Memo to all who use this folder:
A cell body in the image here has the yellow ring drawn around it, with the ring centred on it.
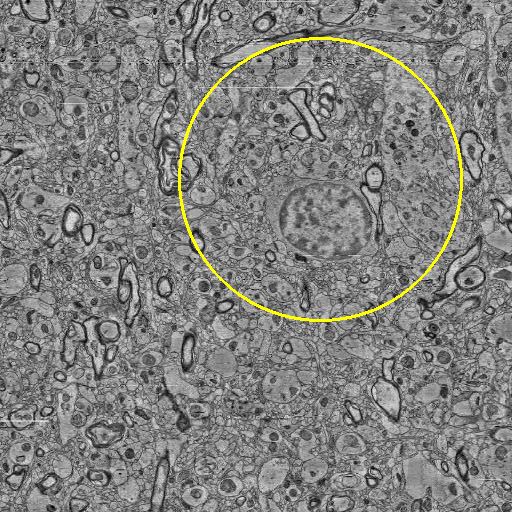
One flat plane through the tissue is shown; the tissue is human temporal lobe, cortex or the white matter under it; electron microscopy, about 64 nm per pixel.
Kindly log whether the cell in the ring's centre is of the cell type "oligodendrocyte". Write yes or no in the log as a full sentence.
Yes, logged: the ring in this image is centred on a cell of that type.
